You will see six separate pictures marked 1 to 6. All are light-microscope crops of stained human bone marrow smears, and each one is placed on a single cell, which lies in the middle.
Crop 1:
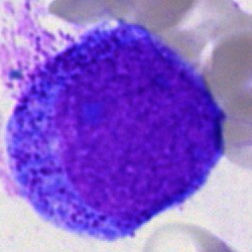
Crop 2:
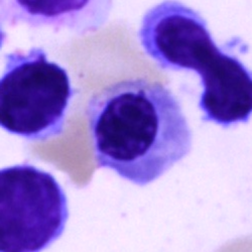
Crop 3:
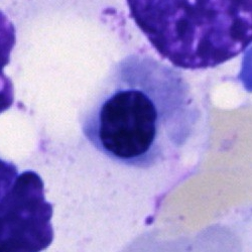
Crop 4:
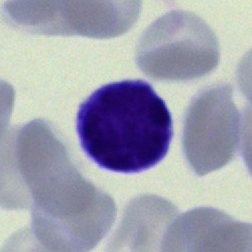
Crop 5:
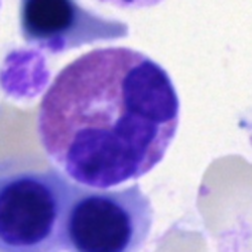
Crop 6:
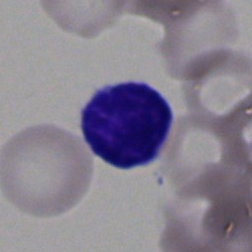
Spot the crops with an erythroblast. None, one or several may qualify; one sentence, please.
In crops 2 and 3, the cells centred in the field are erythroblasts.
